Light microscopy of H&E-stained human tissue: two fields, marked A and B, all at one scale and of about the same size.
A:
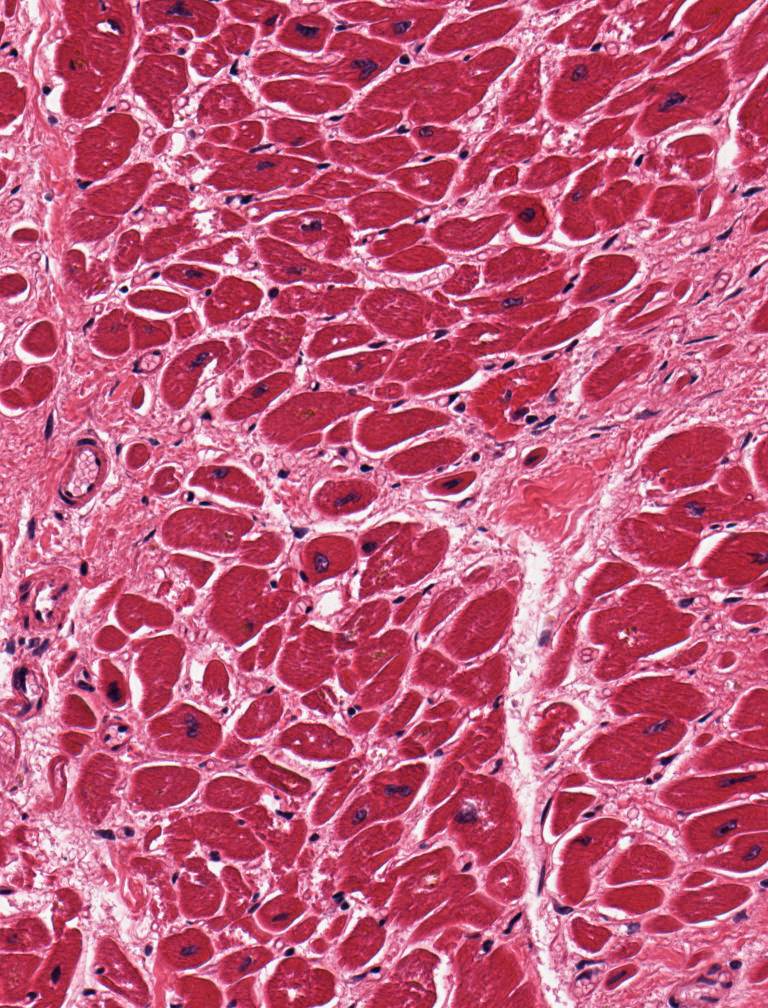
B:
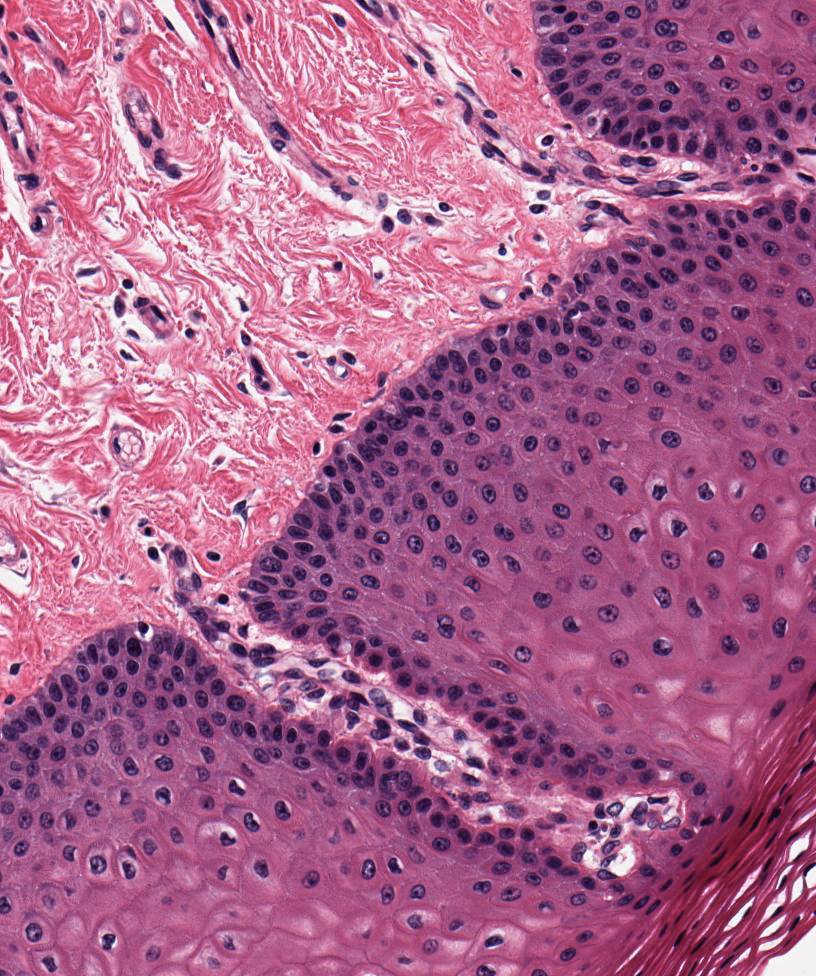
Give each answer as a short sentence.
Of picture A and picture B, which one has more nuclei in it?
It is picture B that has more nuclei in it.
